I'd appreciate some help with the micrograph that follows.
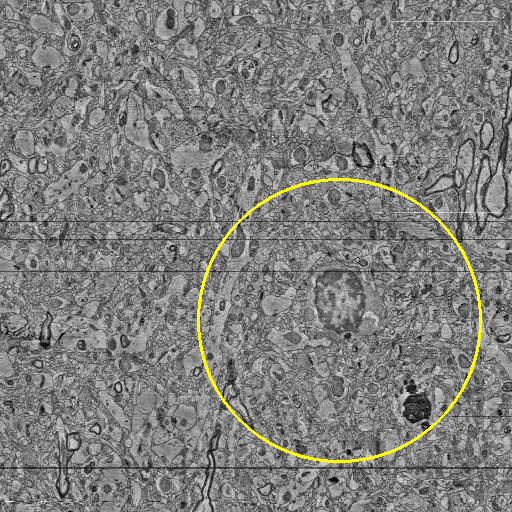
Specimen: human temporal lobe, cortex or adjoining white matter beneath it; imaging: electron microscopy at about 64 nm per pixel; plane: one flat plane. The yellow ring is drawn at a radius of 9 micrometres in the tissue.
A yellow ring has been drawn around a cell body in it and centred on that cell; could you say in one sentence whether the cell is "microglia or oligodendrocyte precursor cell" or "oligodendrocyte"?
It is an oligodendrocyte at the centre of the ring.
